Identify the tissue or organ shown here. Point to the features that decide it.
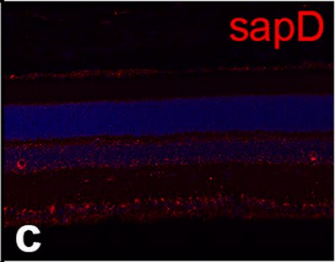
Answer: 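Parallel stacked layers of alternating nuclear and non-nuclear bands. A thick densely packed blue nuclear band with thinner nuclear bands beneath it.
Conclusion: retinas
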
